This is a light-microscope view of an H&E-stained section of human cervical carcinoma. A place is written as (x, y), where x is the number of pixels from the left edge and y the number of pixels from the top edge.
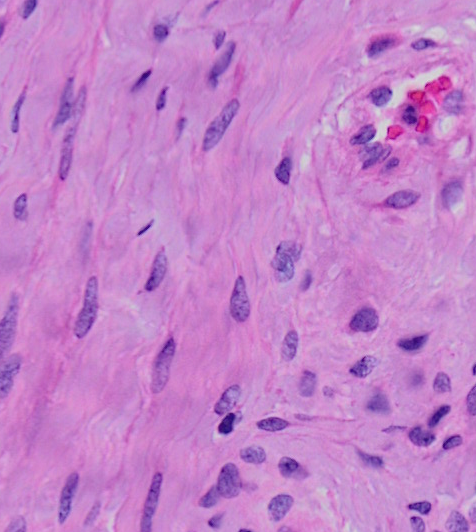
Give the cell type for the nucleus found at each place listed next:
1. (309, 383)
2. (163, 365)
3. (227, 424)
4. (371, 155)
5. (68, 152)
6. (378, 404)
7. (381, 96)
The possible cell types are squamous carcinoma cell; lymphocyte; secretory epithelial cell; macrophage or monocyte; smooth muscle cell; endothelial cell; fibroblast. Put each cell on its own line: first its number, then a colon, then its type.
1: fibroblast
2: fibroblast
3: lymphocyte
4: endothelial cell
5: smooth muscle cell
6: fibroblast
7: endothelial cell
